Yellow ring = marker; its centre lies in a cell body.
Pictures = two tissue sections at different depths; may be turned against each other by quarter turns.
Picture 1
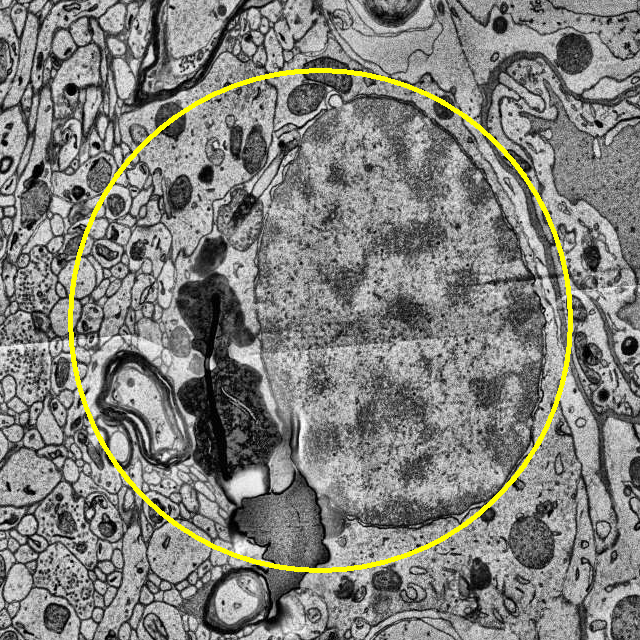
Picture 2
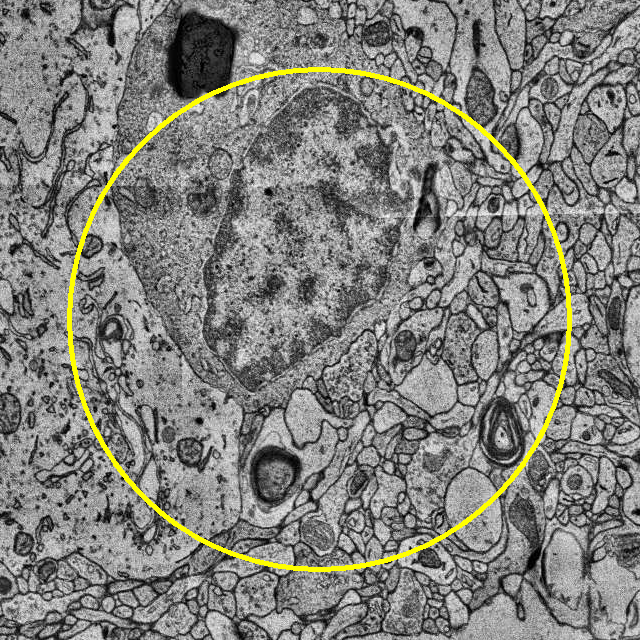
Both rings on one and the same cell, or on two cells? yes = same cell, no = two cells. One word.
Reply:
no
